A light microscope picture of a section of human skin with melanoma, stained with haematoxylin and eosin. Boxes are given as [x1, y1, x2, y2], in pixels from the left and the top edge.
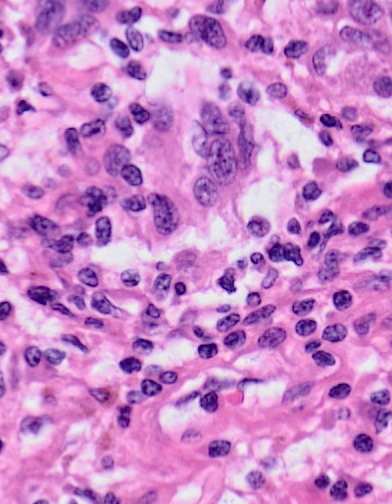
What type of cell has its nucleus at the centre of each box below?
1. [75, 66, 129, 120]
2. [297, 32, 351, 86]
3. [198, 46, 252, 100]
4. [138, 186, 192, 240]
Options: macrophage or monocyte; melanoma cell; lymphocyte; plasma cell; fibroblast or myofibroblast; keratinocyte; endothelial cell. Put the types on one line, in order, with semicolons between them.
lymphocyte; melanoma cell; lymphocyte; melanoma cell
